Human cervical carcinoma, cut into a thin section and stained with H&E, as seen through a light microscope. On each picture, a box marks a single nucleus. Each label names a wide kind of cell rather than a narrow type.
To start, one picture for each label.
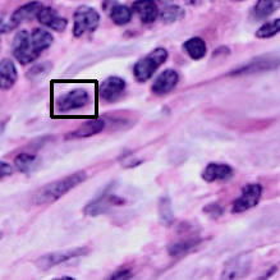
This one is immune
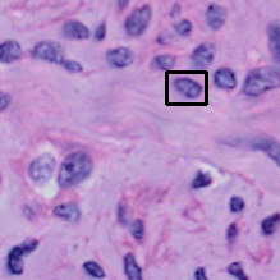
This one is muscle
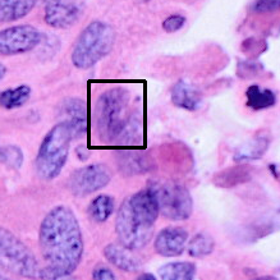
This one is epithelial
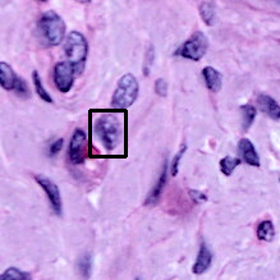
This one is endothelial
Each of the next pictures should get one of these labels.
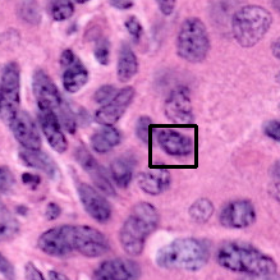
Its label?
epithelial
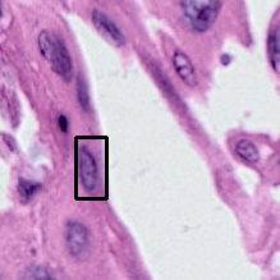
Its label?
epithelial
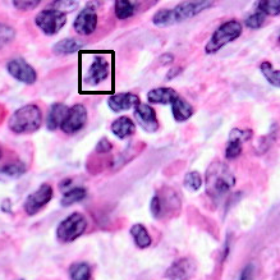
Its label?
immune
